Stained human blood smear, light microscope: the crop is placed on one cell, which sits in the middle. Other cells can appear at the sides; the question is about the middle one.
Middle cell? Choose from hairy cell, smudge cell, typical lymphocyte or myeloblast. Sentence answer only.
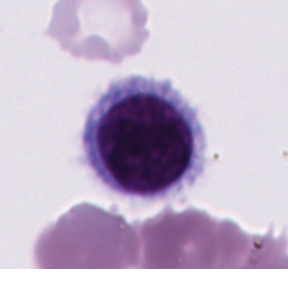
Framed in the middle of the crop is a hairy cell.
